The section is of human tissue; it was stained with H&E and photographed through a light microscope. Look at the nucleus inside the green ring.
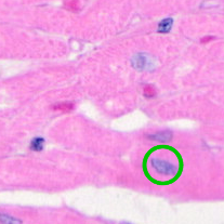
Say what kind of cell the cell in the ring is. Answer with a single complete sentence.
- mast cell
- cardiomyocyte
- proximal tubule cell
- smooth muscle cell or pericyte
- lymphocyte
Right, so the cell in the ring is a cardiomyocyte, to answer that.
